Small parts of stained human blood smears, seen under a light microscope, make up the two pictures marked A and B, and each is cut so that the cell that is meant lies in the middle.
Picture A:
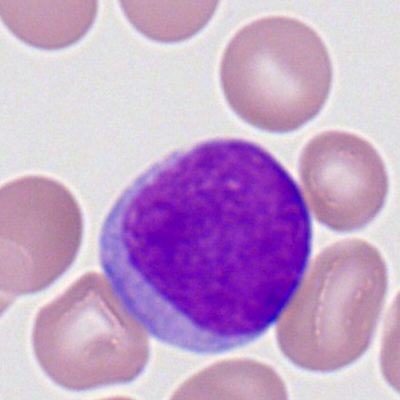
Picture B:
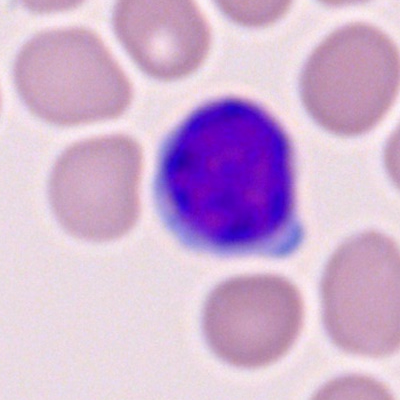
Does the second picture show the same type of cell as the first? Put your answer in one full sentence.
No, the types are not the same, since picture A shows a myeloblast and picture B a lymphocyte.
